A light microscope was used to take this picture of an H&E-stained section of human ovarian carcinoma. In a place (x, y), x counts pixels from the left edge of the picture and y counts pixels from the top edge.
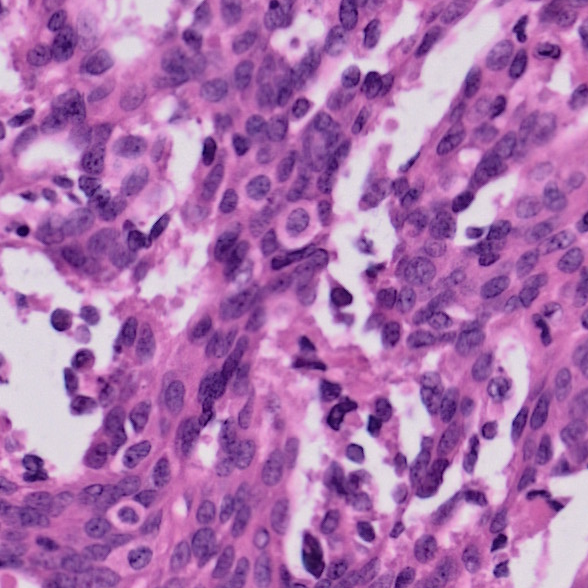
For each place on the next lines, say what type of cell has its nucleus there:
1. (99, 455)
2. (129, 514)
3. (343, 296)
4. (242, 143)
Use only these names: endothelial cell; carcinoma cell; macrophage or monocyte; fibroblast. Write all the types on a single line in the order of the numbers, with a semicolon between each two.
carcinoma cell; macrophage or monocyte; carcinoma cell; carcinoma cell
